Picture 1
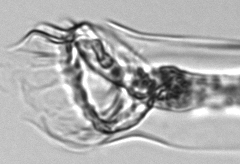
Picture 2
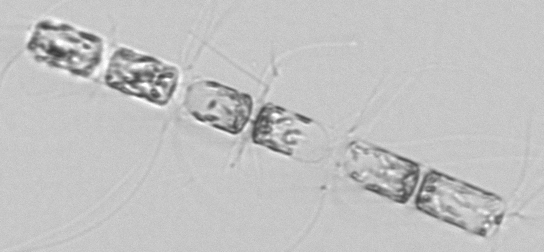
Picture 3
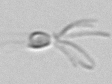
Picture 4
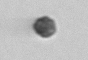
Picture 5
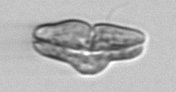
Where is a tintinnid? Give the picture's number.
1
